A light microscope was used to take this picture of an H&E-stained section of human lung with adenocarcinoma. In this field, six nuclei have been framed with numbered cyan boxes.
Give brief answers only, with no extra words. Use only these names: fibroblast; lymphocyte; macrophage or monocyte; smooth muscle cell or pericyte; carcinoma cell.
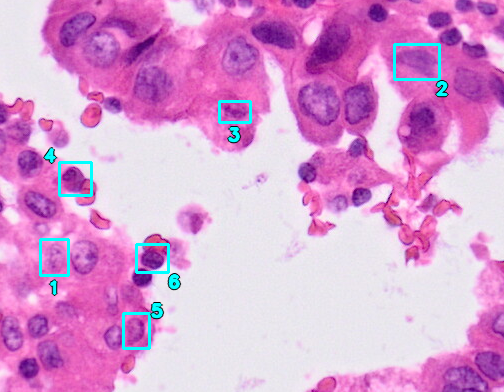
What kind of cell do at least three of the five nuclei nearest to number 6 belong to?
macrophage or monocyte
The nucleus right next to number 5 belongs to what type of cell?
macrophage or monocyte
